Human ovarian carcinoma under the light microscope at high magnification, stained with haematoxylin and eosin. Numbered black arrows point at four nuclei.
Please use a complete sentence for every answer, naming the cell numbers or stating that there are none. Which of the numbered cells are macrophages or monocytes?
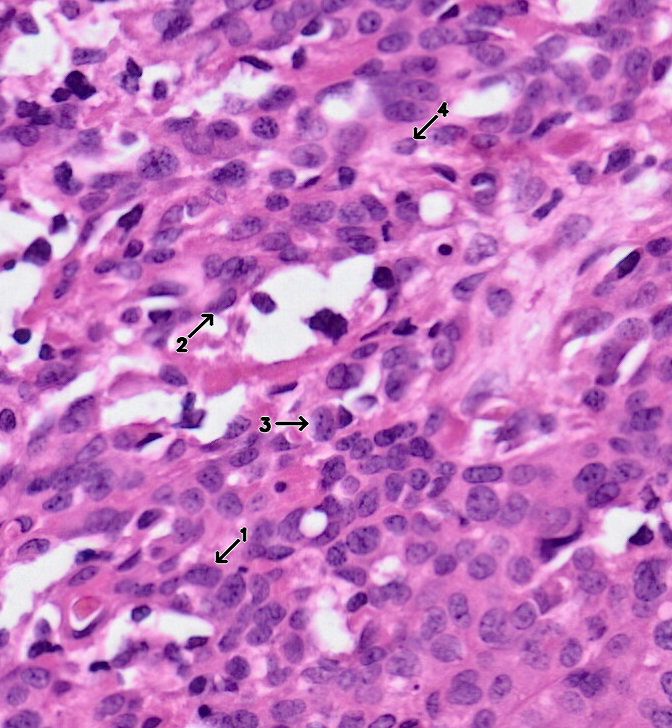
Of those with numbers, only cell 4 is a macrophage or monocyte.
